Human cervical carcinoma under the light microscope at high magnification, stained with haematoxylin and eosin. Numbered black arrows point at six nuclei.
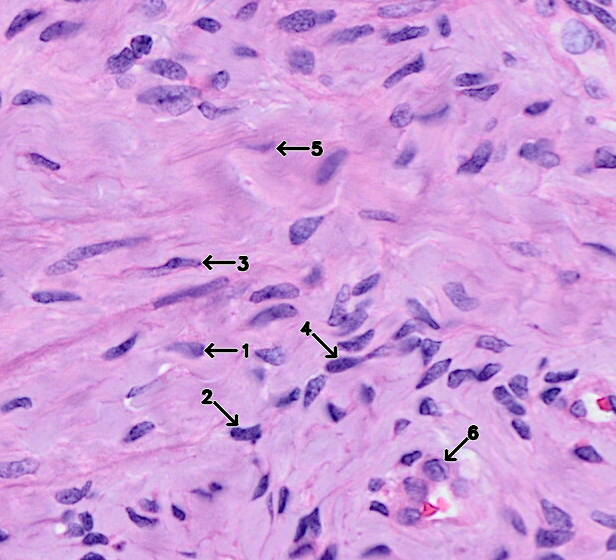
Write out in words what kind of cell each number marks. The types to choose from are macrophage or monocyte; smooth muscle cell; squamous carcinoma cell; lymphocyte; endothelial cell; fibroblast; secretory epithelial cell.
Cells 1, 2, 4 and 5 are fibroblasts. Cell 3 is a smooth muscle cell. Cell 6 is an endothelial cell.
